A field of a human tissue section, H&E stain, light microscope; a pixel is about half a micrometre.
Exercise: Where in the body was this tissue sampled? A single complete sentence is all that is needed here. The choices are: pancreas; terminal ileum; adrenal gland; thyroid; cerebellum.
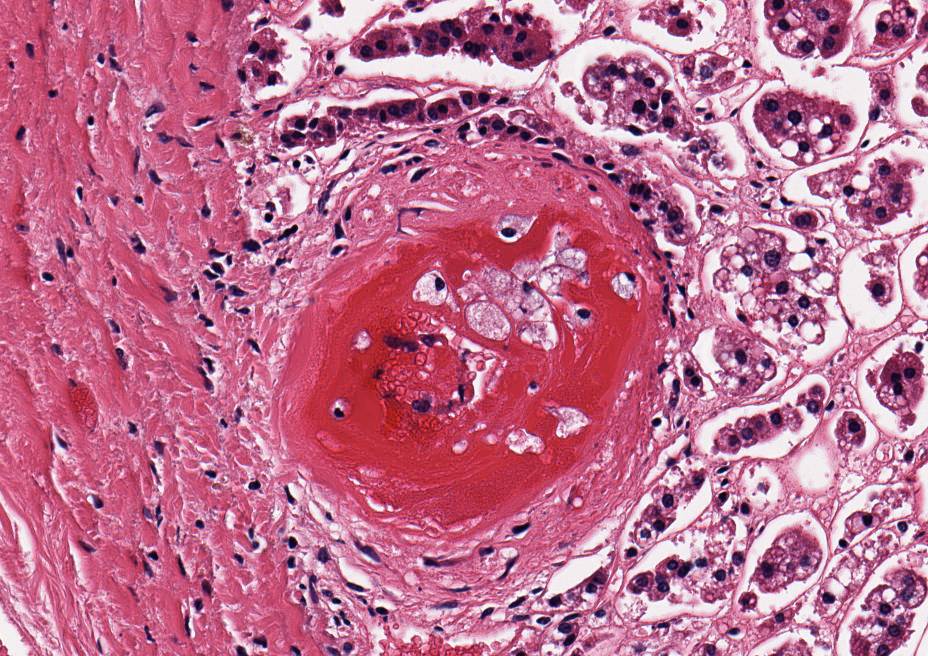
From the adrenal gland this tissue was sampled.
